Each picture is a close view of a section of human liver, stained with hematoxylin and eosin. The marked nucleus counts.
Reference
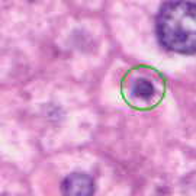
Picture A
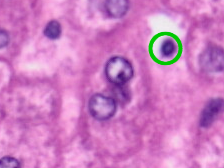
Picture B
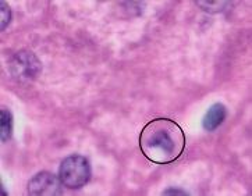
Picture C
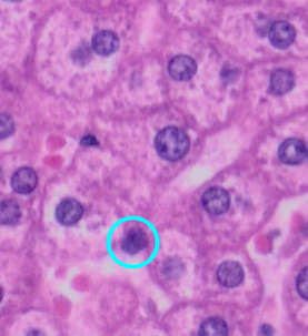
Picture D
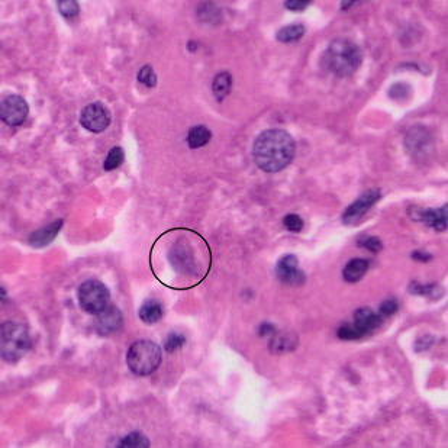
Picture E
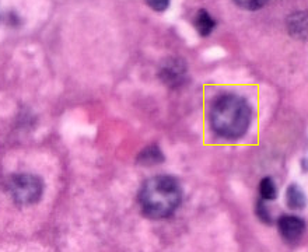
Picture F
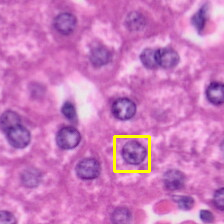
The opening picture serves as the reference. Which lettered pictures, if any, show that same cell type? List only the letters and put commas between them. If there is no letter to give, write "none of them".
A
